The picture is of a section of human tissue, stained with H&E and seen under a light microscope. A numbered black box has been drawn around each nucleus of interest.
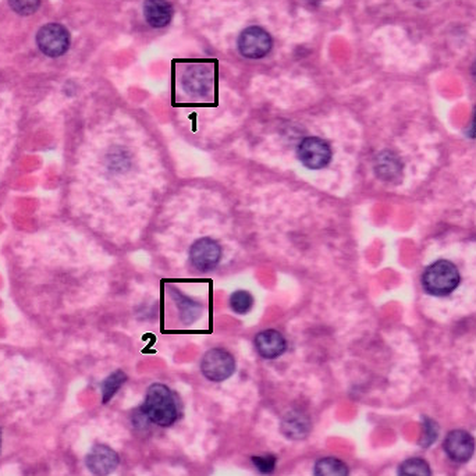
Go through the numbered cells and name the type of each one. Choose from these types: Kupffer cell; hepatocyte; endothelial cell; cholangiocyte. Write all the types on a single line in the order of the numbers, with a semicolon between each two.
hepatocyte; Kupffer cell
